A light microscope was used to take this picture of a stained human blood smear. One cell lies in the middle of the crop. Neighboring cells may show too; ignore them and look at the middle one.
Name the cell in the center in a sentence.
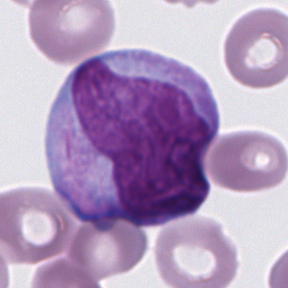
In this crop, the cell at the very middle is an atypical promyelocyte.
